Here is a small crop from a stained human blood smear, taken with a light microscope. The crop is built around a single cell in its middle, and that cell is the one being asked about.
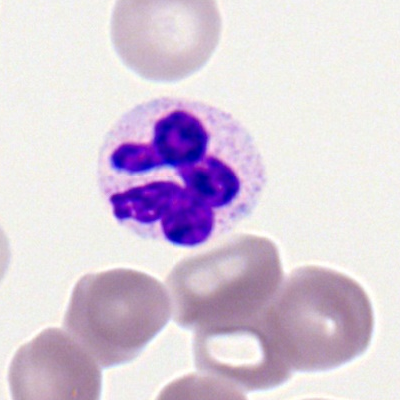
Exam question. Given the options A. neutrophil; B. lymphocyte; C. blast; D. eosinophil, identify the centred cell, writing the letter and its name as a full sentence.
The cell in the middle is a neutrophil, so option A is correct.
